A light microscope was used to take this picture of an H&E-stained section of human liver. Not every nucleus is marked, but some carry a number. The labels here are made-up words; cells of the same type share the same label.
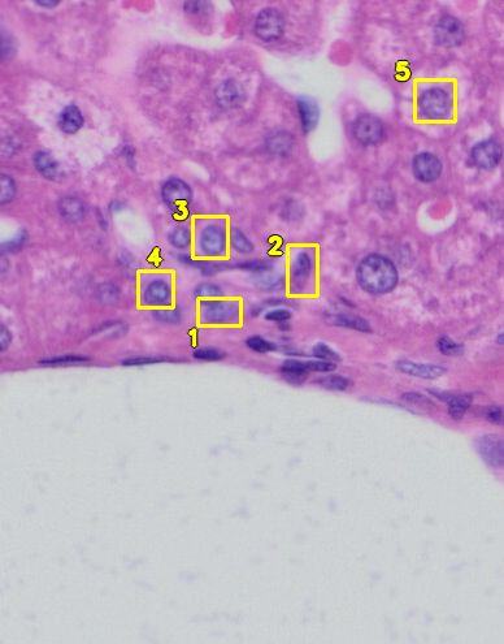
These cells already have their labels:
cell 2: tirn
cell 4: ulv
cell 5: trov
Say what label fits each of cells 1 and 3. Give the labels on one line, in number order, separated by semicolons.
ulv; ulv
